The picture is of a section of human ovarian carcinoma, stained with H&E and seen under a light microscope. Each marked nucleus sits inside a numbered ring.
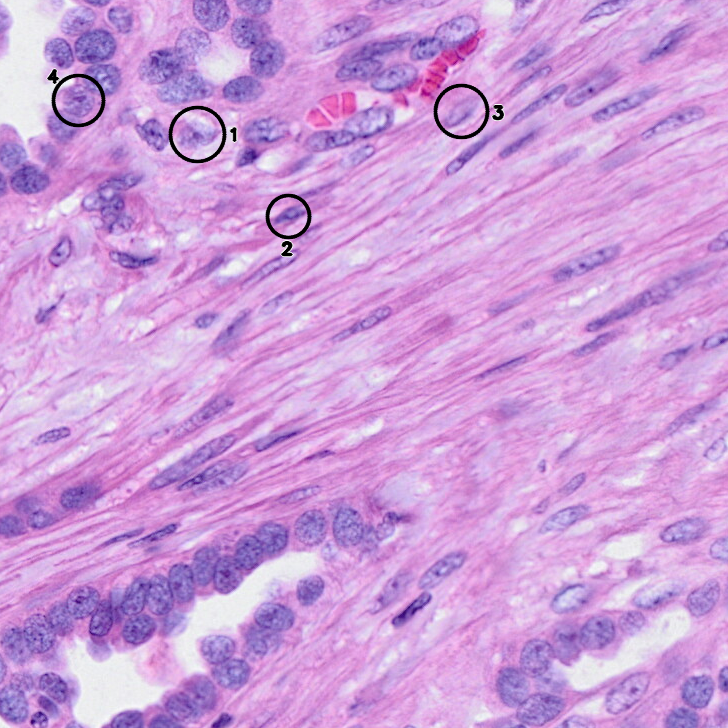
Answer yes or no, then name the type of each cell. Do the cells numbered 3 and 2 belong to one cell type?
Yes, the two numbered cells 3 and 2 are both fibroblasts.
